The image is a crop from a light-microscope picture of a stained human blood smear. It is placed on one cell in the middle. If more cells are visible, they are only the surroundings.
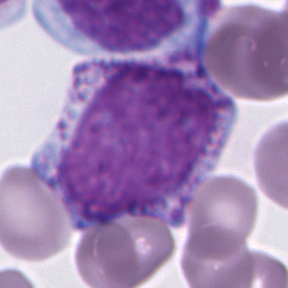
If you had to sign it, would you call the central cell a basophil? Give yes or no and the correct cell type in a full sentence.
No, in the middle of the crop there is a promyelocyte rather than a basophil.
